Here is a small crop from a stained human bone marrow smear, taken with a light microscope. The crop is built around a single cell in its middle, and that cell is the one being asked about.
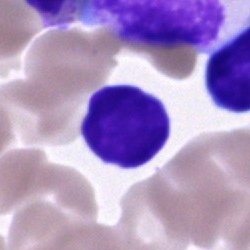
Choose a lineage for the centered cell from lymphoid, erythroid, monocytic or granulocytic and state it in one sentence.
With respect to lineage, the middle cell falls within the lymphoid lineage.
